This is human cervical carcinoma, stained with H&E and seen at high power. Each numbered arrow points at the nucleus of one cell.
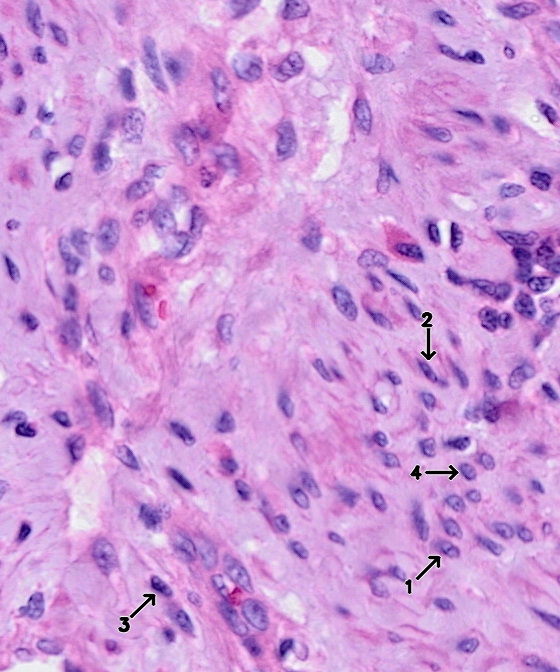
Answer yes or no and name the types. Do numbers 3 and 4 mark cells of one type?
No, as for cell 3, it is a lymphocyte, and cell 4 is a smooth muscle cell.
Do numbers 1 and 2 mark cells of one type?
Yes, cell 1 and cell 2 are both smooth muscle cells.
